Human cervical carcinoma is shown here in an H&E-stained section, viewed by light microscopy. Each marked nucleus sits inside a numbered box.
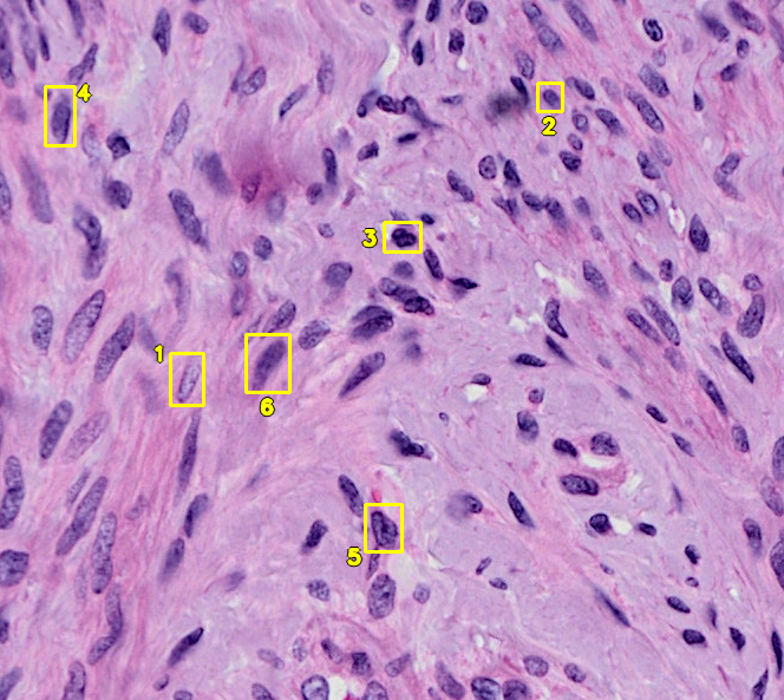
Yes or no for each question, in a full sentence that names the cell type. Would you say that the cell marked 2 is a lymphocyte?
No, cell 2 is not a lymphocyte: it is a smooth muscle cell.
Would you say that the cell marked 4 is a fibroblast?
Yes, that is right: the cell labelled 4 is a fibroblast.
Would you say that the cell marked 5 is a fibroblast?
No, the cell given the number 5 is an endothelial cell, so not a fibroblast.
